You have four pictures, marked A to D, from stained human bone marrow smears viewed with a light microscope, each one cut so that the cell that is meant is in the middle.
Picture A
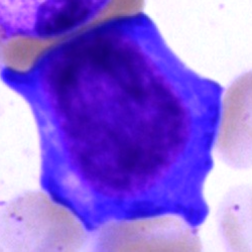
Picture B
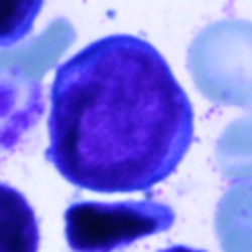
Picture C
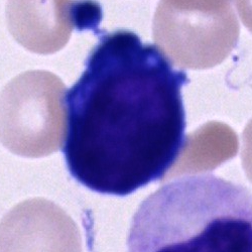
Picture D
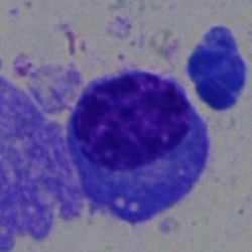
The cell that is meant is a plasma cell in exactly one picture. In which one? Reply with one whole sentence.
The cell in picture D is the plasma cell.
